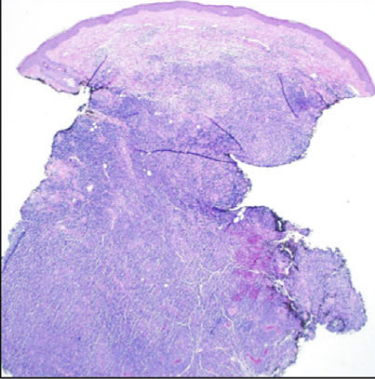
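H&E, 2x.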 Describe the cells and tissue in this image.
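At low magnification, the skin shows a dense purple lymphoid aggregate that occupies the dermis and extends down into the deeper tissue. The thin pink epidermis at the top lies over the infiltrate and is not involved by it.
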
